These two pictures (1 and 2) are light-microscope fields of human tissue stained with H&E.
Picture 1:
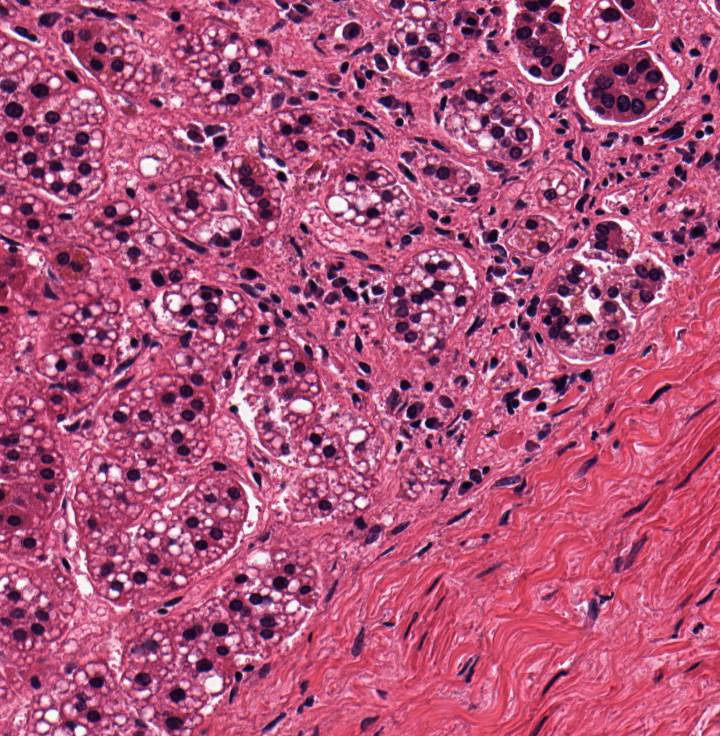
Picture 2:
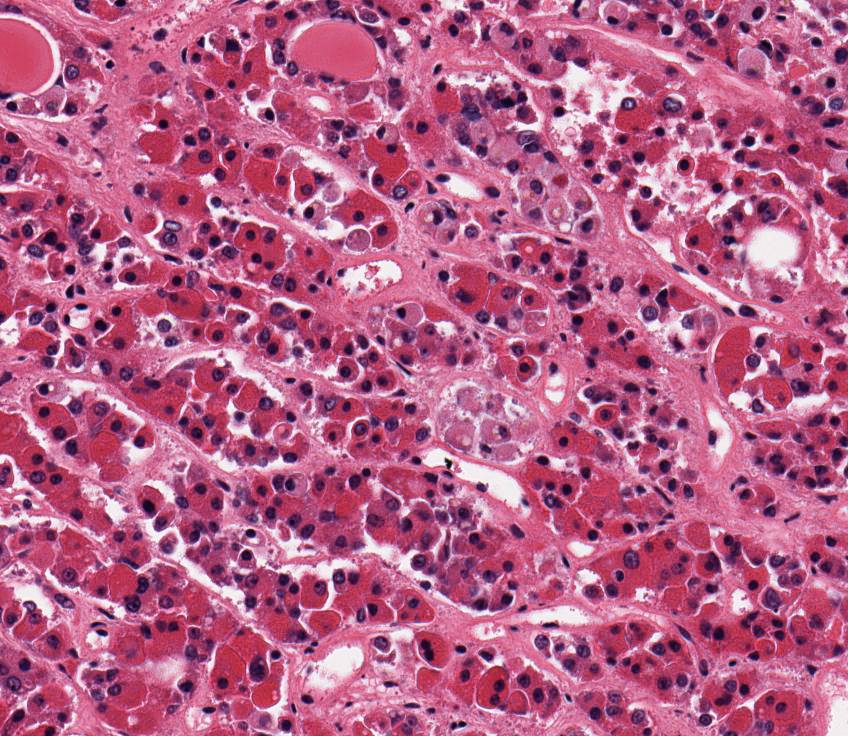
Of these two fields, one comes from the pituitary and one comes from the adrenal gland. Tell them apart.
1: adrenal gland
2: pituitary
